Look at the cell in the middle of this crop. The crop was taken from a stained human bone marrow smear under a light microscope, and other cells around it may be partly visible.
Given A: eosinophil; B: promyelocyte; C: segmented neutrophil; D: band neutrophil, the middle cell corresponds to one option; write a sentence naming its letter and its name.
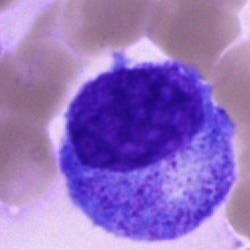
Option B is right, the centrally situated cell being a promyelocyte.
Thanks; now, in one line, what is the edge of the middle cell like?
The outline of this cell is not smooth but ragged or drawn out into projections.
